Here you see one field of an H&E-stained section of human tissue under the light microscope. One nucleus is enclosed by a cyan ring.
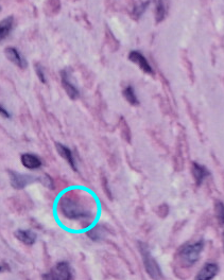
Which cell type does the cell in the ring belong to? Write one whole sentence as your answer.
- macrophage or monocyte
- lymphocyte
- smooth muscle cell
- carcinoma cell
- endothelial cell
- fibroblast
Microscopically, the cell in the ring is categorized as an endothelial cell.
